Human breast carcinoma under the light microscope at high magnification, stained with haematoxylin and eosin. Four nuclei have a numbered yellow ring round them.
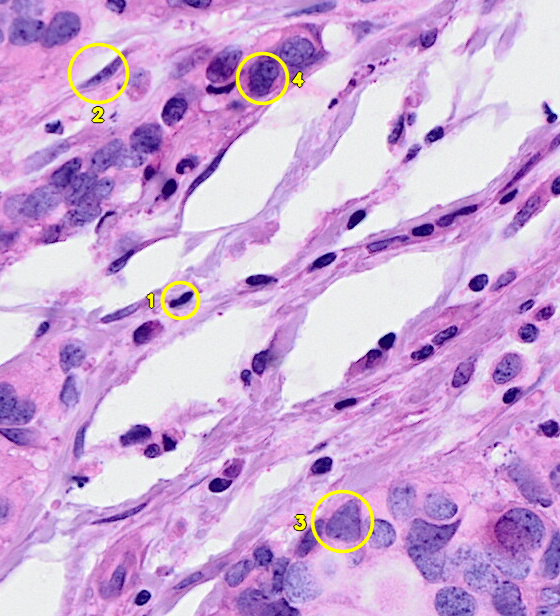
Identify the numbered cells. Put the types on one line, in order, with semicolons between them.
lymphocyte; fibroblast; carcinoma cell; carcinoma cell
